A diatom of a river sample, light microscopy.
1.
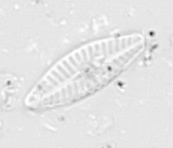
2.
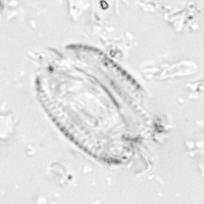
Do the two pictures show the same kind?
No: Planothidium, then Amphora.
